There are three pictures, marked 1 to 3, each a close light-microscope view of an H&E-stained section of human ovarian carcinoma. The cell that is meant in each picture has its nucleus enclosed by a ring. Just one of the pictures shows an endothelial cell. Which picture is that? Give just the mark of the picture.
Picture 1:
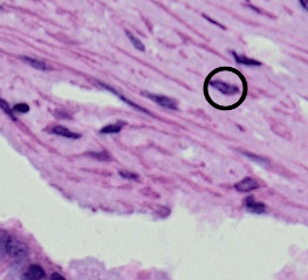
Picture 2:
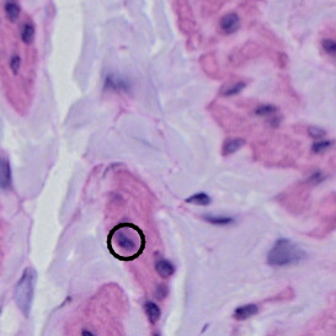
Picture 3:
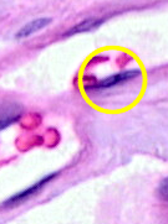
3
